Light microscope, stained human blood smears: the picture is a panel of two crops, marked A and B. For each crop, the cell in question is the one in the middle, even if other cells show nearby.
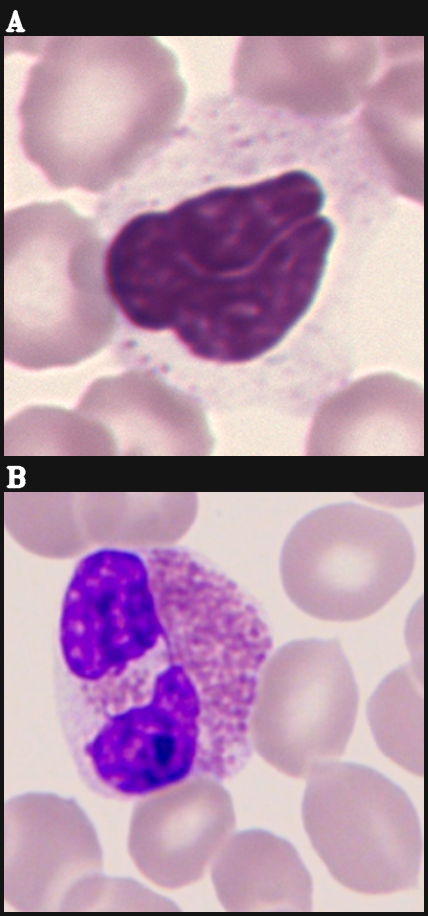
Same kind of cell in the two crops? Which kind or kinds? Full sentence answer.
No, it is a segmented neutrophil in crop A and an eosinophil in crop B.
